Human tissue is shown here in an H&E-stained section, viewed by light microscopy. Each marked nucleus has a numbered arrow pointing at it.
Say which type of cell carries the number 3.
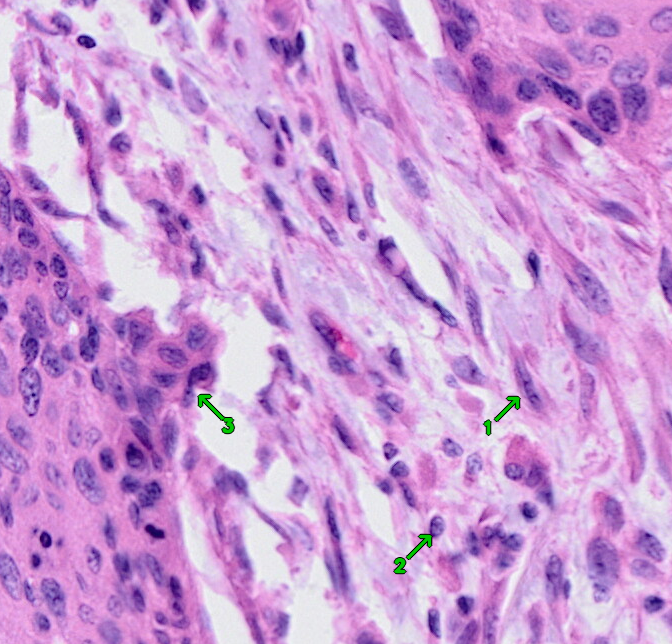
squamous carcinoma cell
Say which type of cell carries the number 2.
lymphocyte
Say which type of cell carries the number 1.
fibroblast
